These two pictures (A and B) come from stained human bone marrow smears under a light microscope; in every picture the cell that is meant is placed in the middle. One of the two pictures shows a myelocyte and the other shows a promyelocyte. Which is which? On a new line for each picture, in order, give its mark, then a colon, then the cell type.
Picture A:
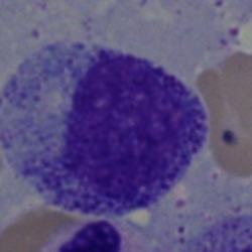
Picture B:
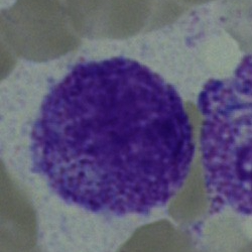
A: promyelocyte
B: myelocyte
